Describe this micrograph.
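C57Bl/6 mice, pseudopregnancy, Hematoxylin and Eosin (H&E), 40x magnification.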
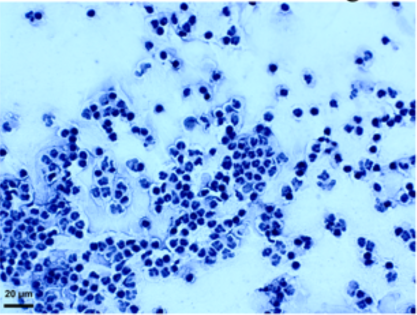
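A vaginal smear densely packed with small cells whose compact nuclei stain dark blue-purple. They crowd in clusters and strands around paler, loosely outlined larger cells and amorphous light material, leaving clear gaps between the clusters.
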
